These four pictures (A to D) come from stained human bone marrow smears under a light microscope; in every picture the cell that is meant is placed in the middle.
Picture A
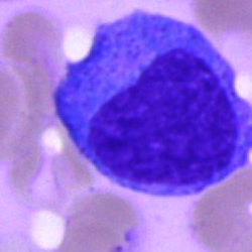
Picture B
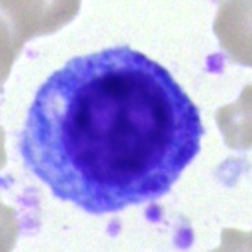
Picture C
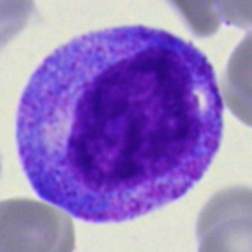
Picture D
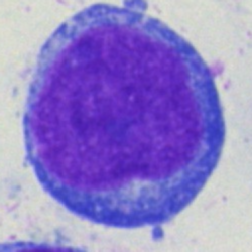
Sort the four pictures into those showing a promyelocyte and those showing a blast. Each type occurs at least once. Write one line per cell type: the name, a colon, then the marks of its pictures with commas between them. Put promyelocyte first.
promyelocyte: A, B, C
blast: D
